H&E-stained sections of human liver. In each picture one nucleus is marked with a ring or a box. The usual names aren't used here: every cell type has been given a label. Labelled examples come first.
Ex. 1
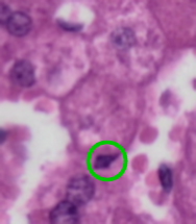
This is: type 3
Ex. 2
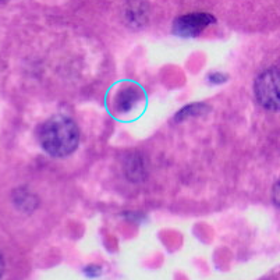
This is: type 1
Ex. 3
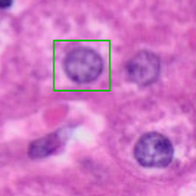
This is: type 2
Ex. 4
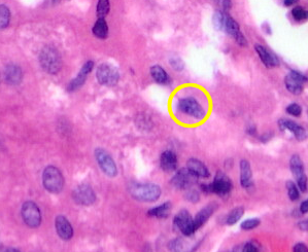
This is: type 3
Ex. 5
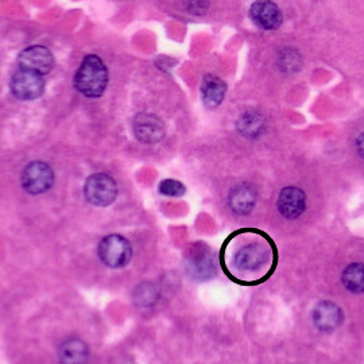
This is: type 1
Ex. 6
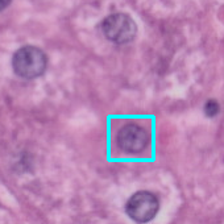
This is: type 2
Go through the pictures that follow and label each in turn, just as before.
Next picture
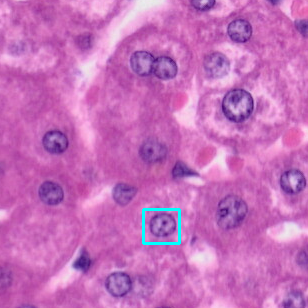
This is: type 2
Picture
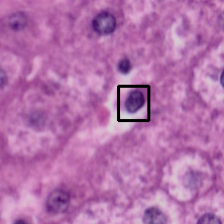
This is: type 1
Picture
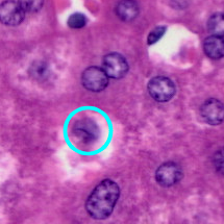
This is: type 1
